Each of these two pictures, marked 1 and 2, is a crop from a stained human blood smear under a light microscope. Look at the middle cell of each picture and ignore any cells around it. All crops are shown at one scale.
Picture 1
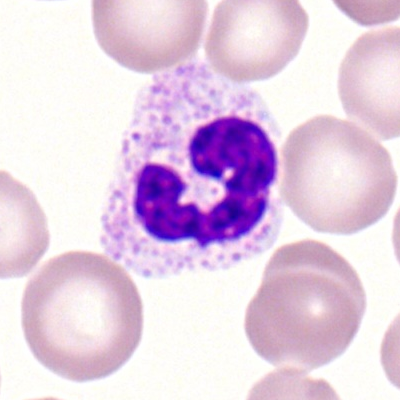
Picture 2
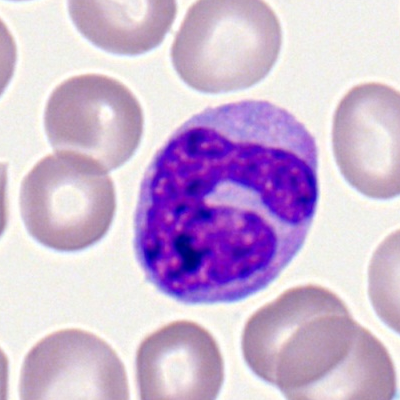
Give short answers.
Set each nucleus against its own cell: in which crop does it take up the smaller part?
1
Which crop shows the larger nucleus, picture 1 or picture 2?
2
